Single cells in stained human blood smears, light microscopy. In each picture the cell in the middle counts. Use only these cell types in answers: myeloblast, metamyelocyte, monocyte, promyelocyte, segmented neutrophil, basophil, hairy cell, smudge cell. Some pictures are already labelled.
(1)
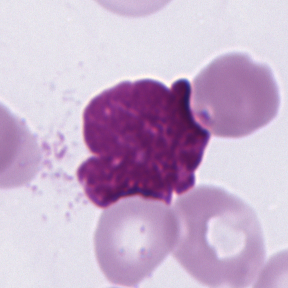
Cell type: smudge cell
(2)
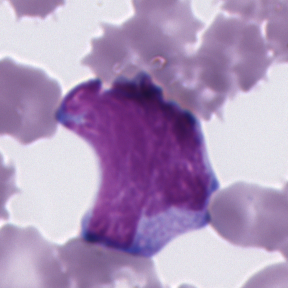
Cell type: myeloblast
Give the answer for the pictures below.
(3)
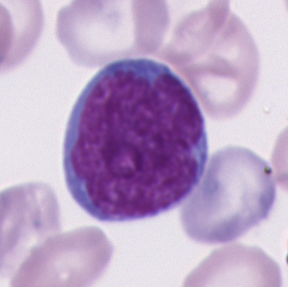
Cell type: myeloblast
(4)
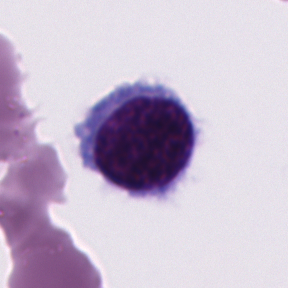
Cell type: hairy cell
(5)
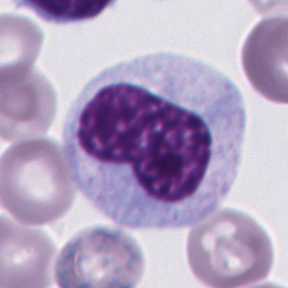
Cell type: metamyelocyte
